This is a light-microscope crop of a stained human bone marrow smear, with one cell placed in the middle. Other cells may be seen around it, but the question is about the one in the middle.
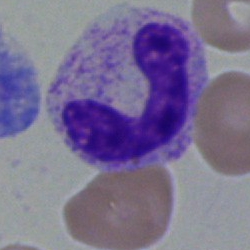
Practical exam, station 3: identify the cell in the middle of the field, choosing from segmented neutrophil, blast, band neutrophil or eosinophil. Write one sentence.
Centrally within this crop lies a band neutrophil.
